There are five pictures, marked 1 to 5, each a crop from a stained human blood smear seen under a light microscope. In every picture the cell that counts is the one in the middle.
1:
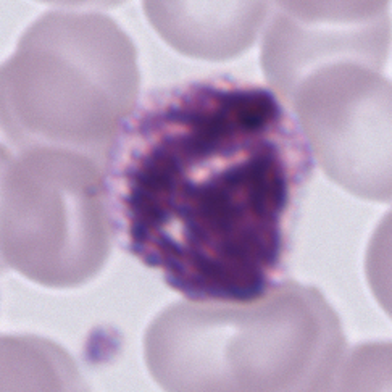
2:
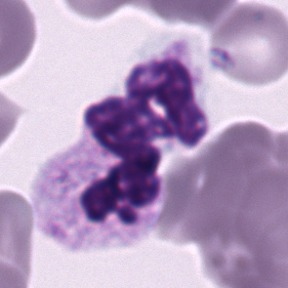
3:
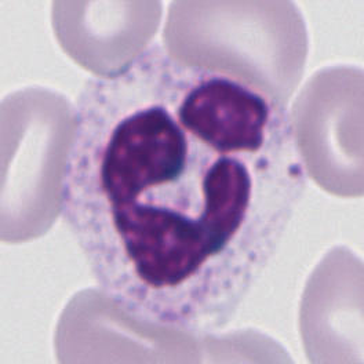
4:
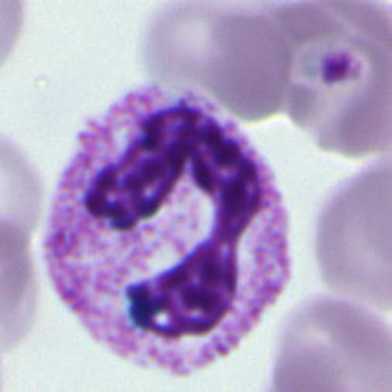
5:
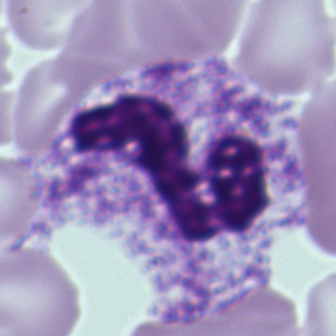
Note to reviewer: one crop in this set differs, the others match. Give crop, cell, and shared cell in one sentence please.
Crop 1 is the exception here: it is a basophil, and the others are segmented neutrophils.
